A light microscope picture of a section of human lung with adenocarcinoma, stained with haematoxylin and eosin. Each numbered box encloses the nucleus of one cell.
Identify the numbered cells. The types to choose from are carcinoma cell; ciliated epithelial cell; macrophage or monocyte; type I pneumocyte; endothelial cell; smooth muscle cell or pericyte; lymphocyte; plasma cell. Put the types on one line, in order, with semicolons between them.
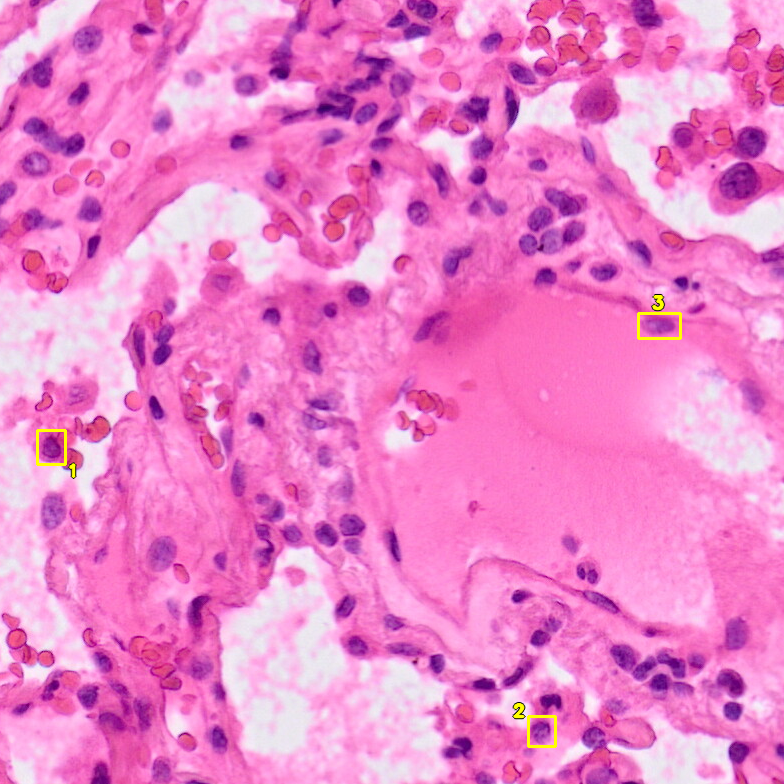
macrophage or monocyte; type I pneumocyte; endothelial cell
